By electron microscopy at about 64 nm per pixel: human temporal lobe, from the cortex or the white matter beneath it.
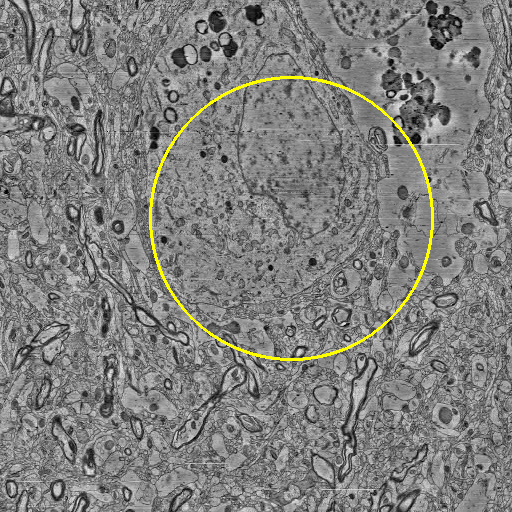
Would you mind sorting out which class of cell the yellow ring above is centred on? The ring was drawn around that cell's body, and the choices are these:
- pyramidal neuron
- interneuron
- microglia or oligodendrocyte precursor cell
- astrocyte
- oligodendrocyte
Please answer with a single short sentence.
This is the cell body of a pyramidal neuron.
